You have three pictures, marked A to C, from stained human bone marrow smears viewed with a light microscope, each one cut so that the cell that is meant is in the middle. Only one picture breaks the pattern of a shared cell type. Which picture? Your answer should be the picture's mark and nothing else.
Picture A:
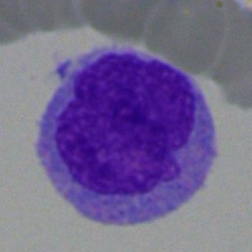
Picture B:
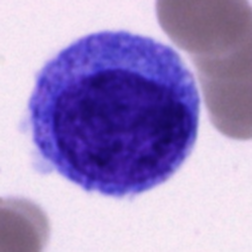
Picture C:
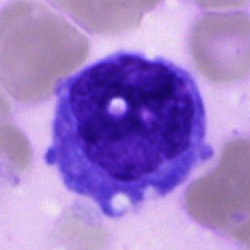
B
